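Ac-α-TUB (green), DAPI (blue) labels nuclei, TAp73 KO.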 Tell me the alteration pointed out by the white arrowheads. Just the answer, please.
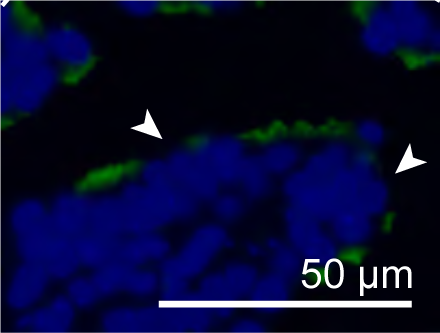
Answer: Segments devoid of cilia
